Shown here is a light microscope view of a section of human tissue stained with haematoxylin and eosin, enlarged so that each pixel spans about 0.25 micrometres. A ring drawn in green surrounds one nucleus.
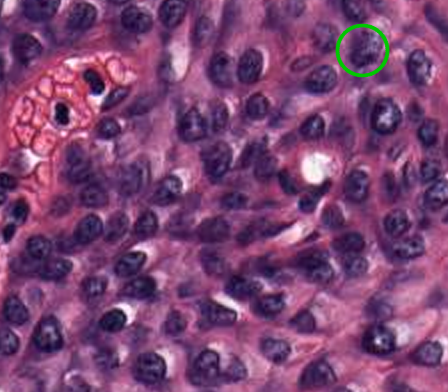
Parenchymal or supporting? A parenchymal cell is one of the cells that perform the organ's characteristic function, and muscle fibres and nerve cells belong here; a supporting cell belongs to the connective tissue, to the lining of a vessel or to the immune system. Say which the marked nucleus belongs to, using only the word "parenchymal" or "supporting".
parenchymal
